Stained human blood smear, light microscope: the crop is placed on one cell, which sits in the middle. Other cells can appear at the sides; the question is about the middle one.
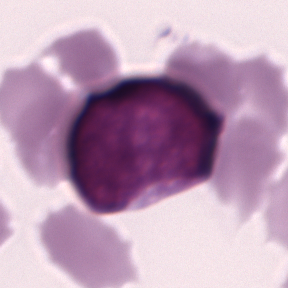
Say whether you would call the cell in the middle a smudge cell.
no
